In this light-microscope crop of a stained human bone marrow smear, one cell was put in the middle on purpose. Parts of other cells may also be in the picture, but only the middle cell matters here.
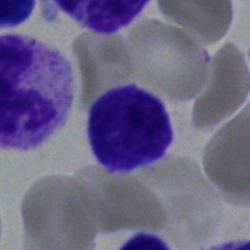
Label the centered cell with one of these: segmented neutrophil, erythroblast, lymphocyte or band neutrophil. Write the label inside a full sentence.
At the center of the crop sits a lymphocyte.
